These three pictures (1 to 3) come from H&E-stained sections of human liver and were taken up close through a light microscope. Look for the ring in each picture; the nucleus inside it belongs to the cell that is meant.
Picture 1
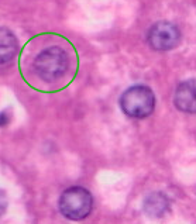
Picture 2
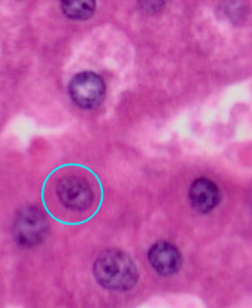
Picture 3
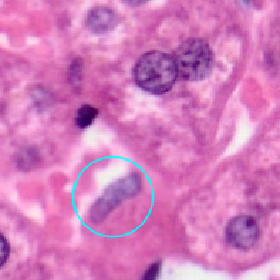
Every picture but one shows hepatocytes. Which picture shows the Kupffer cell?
3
